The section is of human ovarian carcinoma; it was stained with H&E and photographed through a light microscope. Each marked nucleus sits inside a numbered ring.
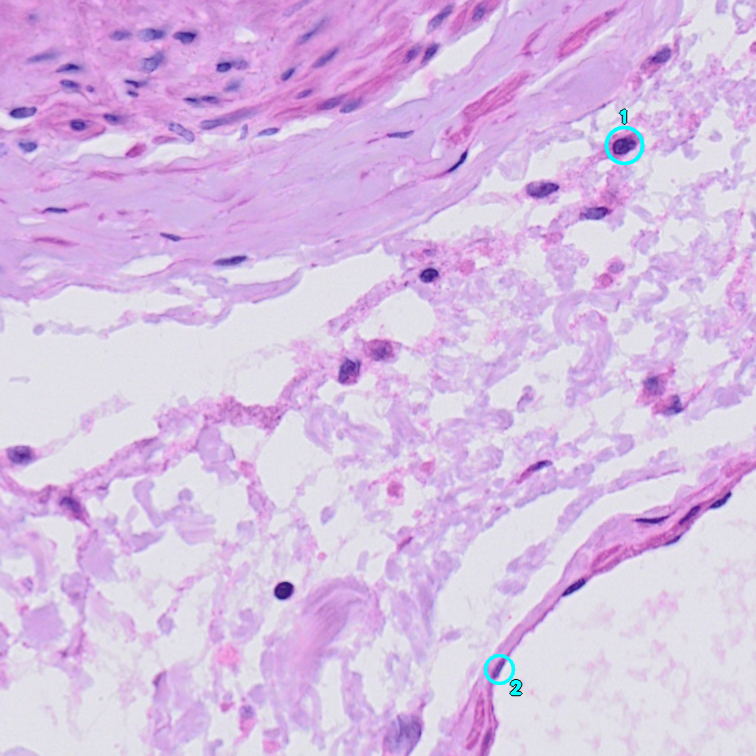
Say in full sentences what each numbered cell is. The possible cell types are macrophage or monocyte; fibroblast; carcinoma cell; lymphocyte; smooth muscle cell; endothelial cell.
Cell 1 is a macrophage or monocyte. Cell 2 is an endothelial cell.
